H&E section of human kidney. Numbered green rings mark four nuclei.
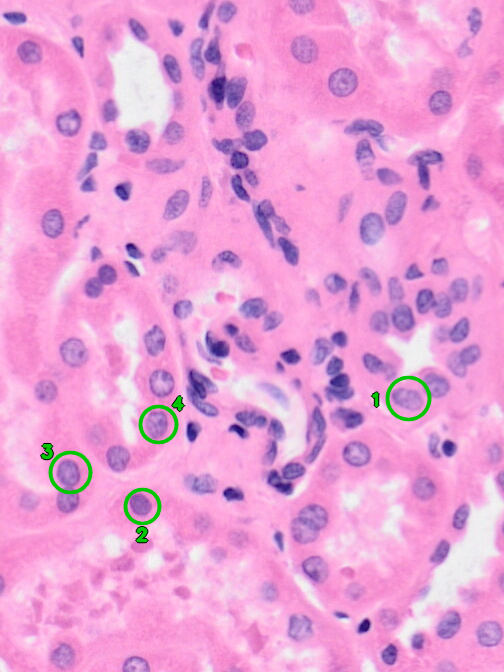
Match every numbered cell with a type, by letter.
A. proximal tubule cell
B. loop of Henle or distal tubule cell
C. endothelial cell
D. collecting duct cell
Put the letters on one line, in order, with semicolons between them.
D; A; A; A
